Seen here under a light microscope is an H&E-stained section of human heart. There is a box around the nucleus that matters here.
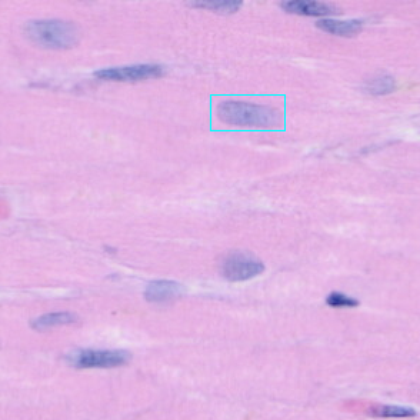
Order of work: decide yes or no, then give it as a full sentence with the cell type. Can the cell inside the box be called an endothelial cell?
No, the cell inside the box does not represent an endothelial cell; it represents a cardiomyocyte.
